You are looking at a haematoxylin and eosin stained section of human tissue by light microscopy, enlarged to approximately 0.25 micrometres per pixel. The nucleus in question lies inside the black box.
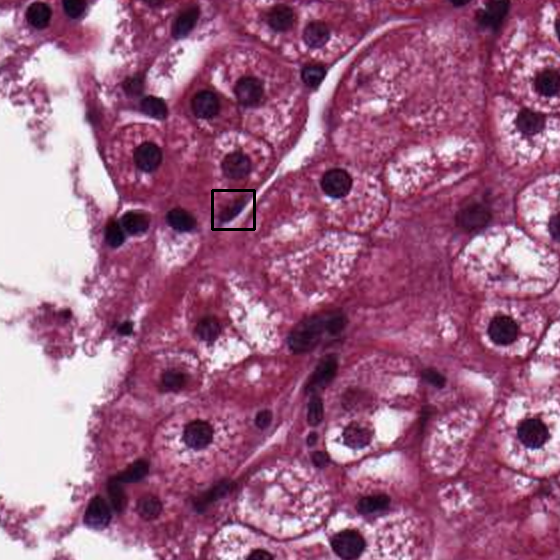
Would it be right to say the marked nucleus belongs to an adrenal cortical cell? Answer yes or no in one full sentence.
No, the marked nucleus is not borne by an adrenal cortical cell; it is borne by a supporting cell.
